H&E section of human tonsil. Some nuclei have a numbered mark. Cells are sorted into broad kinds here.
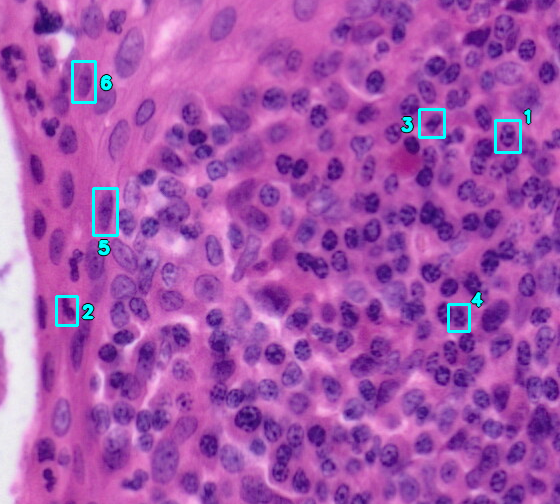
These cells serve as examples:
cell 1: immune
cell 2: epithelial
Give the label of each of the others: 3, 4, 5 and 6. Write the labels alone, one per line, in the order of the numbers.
immune
immune
epithelial
epithelial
